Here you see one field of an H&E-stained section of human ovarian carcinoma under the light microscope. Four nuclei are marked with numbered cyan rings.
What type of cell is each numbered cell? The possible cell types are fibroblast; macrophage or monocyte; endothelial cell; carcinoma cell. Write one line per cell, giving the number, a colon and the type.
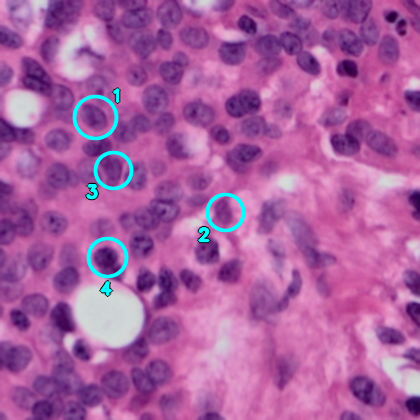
1: carcinoma cell
2: carcinoma cell
3: carcinoma cell
4: macrophage or monocyte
